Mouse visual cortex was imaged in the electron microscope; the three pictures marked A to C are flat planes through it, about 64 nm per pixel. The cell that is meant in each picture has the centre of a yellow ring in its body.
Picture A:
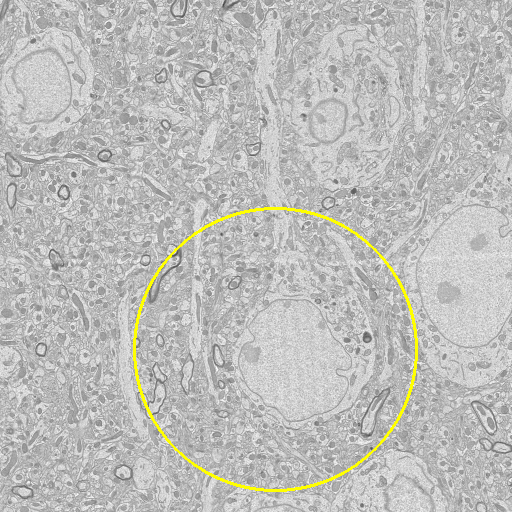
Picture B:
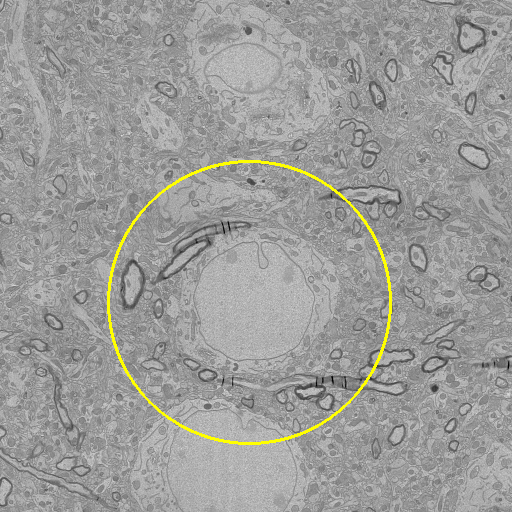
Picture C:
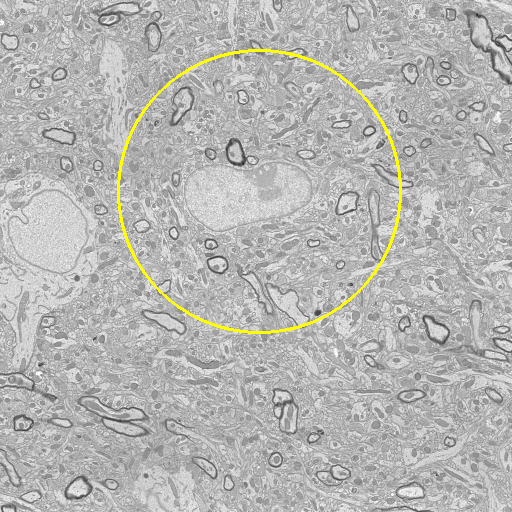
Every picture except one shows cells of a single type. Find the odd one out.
Picture C differs, because its cell is an astrocyte and the rest are excitatory neurons.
